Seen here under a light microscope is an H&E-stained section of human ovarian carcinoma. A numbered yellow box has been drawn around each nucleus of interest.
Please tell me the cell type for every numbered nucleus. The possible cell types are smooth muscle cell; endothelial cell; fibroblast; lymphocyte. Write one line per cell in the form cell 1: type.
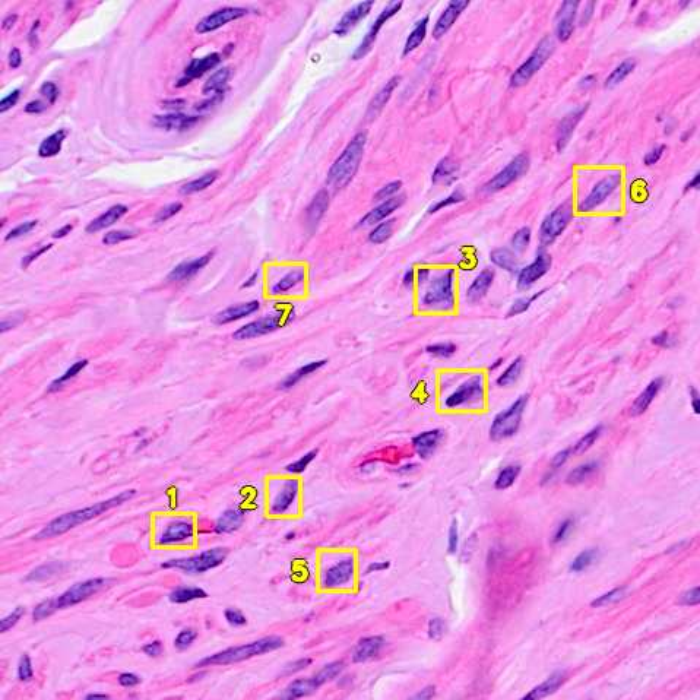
cell 1: endothelial cell
cell 2: smooth muscle cell
cell 3: fibroblast
cell 4: fibroblast
cell 5: smooth muscle cell
cell 6: smooth muscle cell
cell 7: smooth muscle cell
